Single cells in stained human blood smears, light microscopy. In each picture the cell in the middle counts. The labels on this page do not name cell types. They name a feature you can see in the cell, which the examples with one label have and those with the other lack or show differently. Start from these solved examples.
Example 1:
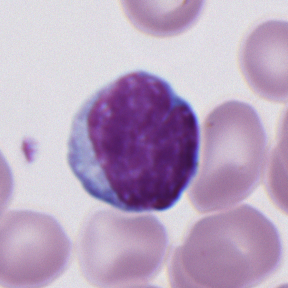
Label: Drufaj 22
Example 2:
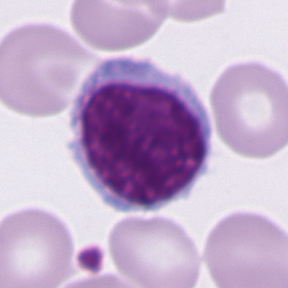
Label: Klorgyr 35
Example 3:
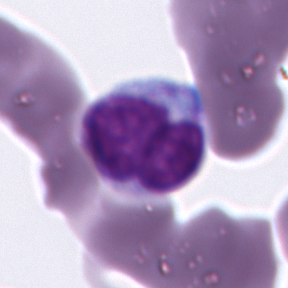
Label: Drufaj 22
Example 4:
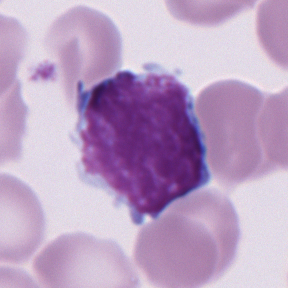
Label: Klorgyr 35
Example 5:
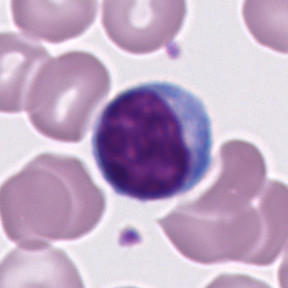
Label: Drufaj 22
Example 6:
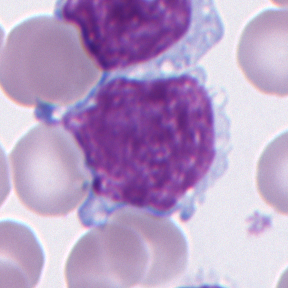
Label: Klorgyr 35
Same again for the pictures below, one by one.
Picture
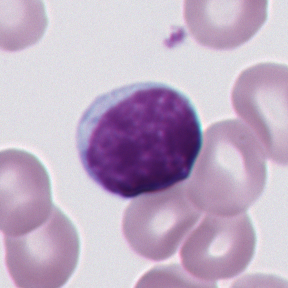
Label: Drufaj 22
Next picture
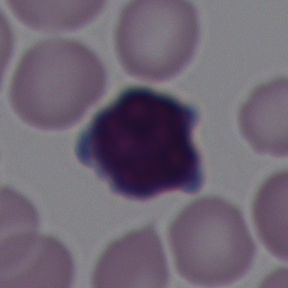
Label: Klorgyr 35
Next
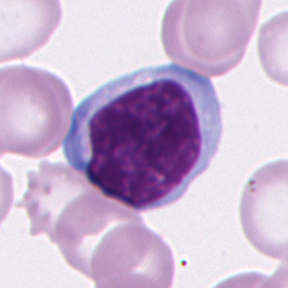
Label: Drufaj 22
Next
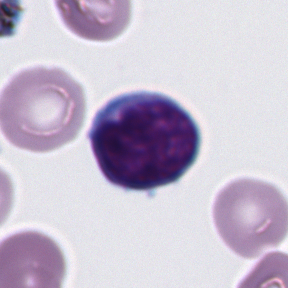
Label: Klorgyr 35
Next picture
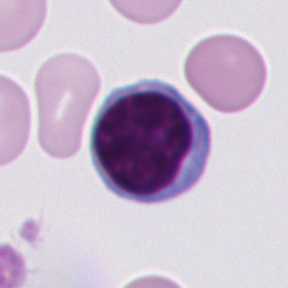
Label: Drufaj 22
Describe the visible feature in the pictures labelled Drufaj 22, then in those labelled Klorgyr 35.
In Drufaj 22: smooth outline. In Klorgyr 35: ragged outline or projections.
